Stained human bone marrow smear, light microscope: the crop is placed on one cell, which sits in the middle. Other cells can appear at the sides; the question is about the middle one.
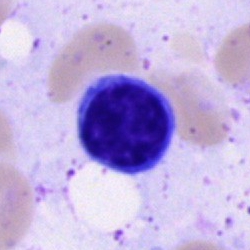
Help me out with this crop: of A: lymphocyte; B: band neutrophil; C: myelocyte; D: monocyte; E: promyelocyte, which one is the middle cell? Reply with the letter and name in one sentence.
Answer key: option A, the middle cell being a lymphocyte.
